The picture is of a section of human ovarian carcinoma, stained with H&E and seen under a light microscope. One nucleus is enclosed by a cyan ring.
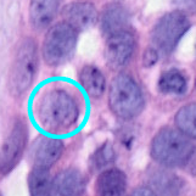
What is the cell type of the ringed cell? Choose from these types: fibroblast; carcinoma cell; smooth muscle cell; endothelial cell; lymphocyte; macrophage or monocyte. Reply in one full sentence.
The correct response here is that the ringed cell is a carcinoma cell.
